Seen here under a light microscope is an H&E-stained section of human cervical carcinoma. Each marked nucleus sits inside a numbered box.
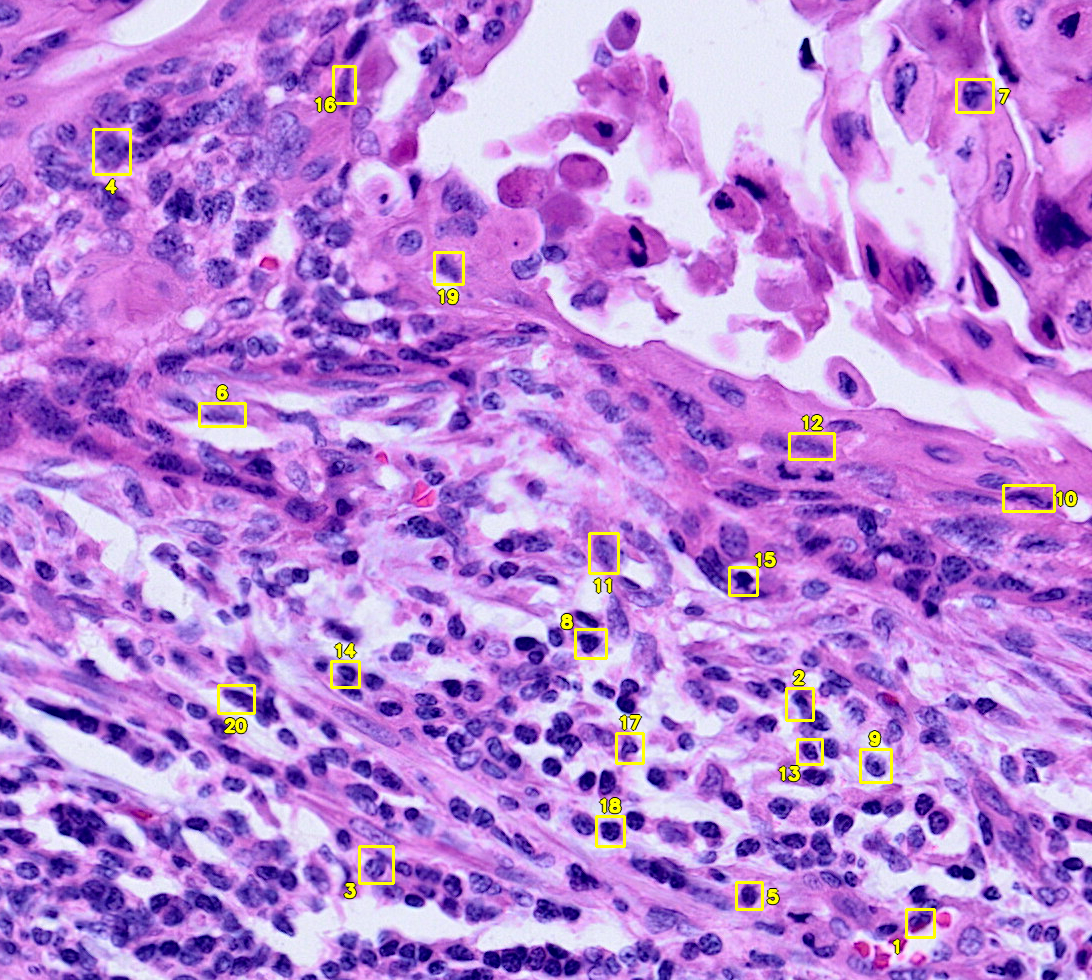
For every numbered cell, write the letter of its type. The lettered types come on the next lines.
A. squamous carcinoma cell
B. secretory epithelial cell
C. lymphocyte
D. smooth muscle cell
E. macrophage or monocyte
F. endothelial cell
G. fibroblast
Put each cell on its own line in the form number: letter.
1: F
2: C
3: C
4: A
5: C
6: G
7: A
8: C
9: C
10: A
11: F
12: A
13: C
14: C
15: C
16: A
17: C
18: C
19: A
20: C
